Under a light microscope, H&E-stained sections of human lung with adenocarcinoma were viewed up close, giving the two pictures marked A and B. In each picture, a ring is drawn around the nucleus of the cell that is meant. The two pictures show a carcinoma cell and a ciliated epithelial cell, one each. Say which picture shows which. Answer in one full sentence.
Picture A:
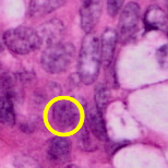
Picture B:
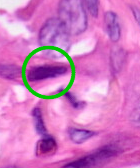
In picture A the cell is a ciliated epithelial cell; in picture B, a carcinoma cell.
